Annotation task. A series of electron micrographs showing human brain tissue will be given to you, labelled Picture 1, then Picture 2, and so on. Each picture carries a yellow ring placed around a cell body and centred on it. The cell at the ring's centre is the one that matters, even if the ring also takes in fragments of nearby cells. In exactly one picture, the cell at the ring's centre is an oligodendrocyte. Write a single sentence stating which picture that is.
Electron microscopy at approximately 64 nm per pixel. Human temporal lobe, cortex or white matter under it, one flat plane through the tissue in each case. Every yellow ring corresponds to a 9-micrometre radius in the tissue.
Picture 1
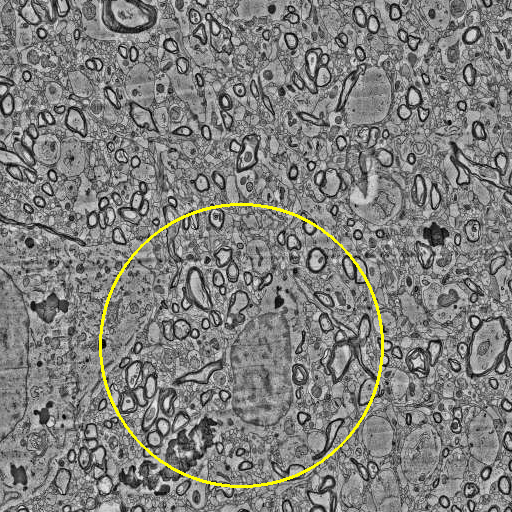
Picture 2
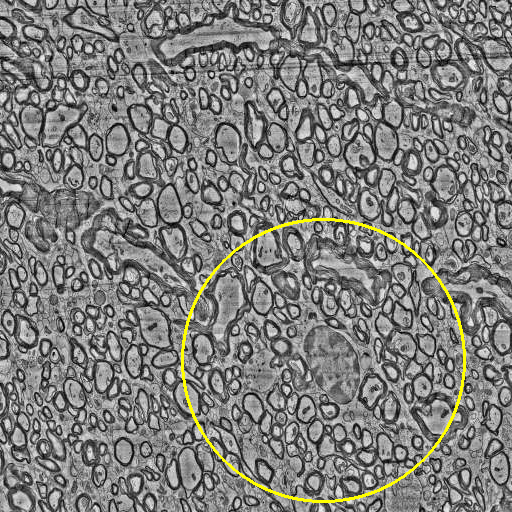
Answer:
Picture 1 holds the requested cell at the very centre of its ring.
